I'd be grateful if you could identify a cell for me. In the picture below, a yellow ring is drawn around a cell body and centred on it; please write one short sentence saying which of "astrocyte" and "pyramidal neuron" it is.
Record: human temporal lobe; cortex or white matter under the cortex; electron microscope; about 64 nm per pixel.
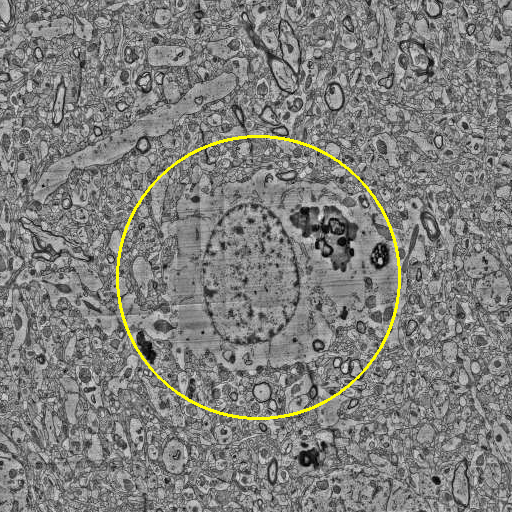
The cell under the ring's centre is an astrocyte.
